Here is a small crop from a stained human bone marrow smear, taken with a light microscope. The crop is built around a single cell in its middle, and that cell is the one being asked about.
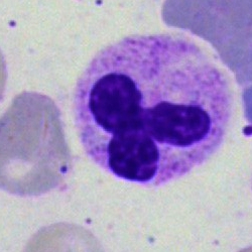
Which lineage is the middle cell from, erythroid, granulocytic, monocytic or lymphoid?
granulocytic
